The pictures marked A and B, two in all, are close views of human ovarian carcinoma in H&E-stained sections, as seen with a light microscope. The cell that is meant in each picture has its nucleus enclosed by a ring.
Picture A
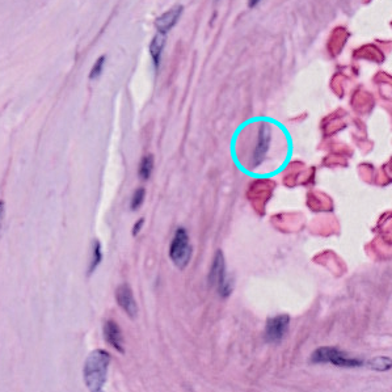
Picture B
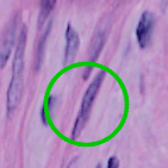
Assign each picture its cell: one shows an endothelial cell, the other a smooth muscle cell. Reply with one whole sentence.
Picture A shows an endothelial cell and picture B shows a smooth muscle cell.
